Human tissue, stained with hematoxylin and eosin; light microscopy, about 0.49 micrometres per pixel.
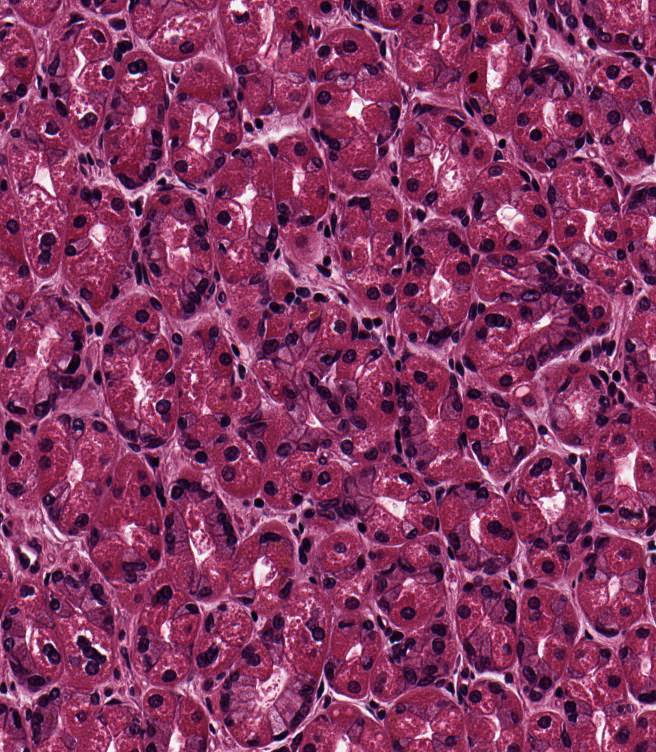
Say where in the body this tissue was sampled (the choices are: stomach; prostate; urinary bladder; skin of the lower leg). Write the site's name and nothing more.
stomach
